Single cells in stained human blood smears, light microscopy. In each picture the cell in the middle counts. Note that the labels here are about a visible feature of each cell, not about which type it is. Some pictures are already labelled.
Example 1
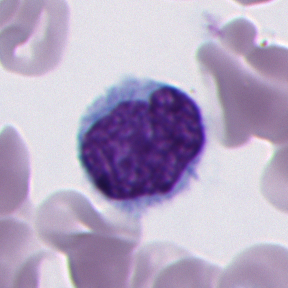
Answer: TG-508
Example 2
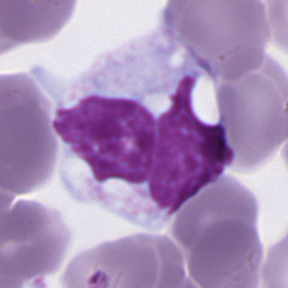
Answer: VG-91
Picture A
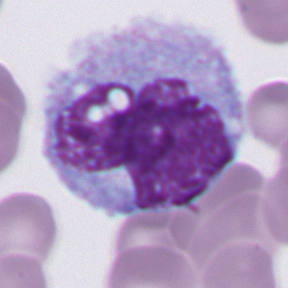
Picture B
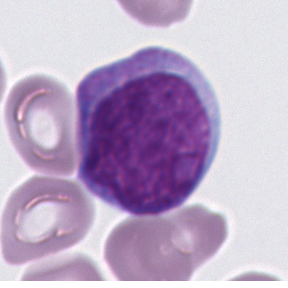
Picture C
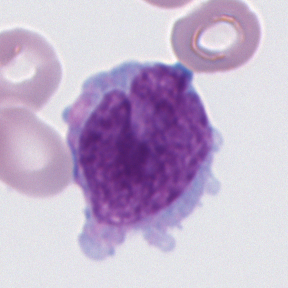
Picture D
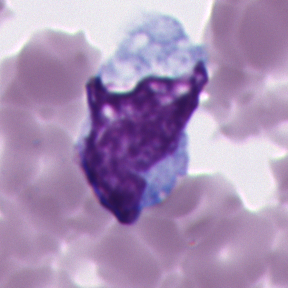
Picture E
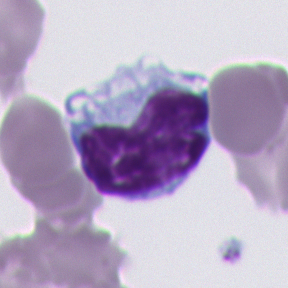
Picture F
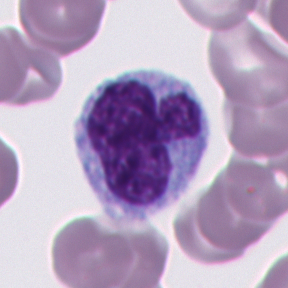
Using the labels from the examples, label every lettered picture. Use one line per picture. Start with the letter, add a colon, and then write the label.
A: VG-91
B: TG-508
C: TG-508
D: TG-508
E: TG-508
F: VG-91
